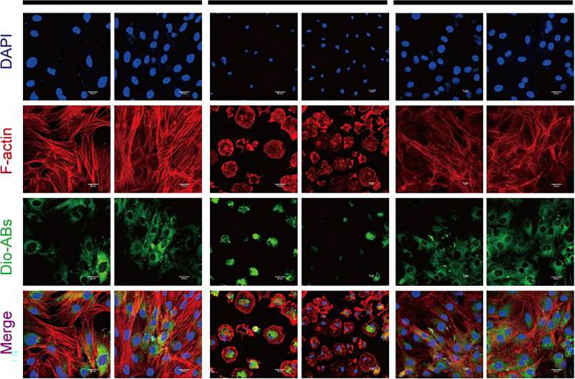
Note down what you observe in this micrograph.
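In the first pair of columns the cells are large and elongated, and long, parallel red actin fibres run along their length. In the middle pair the cells are small and rounded, with red actin concentrated in rings and ruffles at their edges. In the last pair the cells are spread and flattened, with a network of red actin fibres around oval blue nuclei.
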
